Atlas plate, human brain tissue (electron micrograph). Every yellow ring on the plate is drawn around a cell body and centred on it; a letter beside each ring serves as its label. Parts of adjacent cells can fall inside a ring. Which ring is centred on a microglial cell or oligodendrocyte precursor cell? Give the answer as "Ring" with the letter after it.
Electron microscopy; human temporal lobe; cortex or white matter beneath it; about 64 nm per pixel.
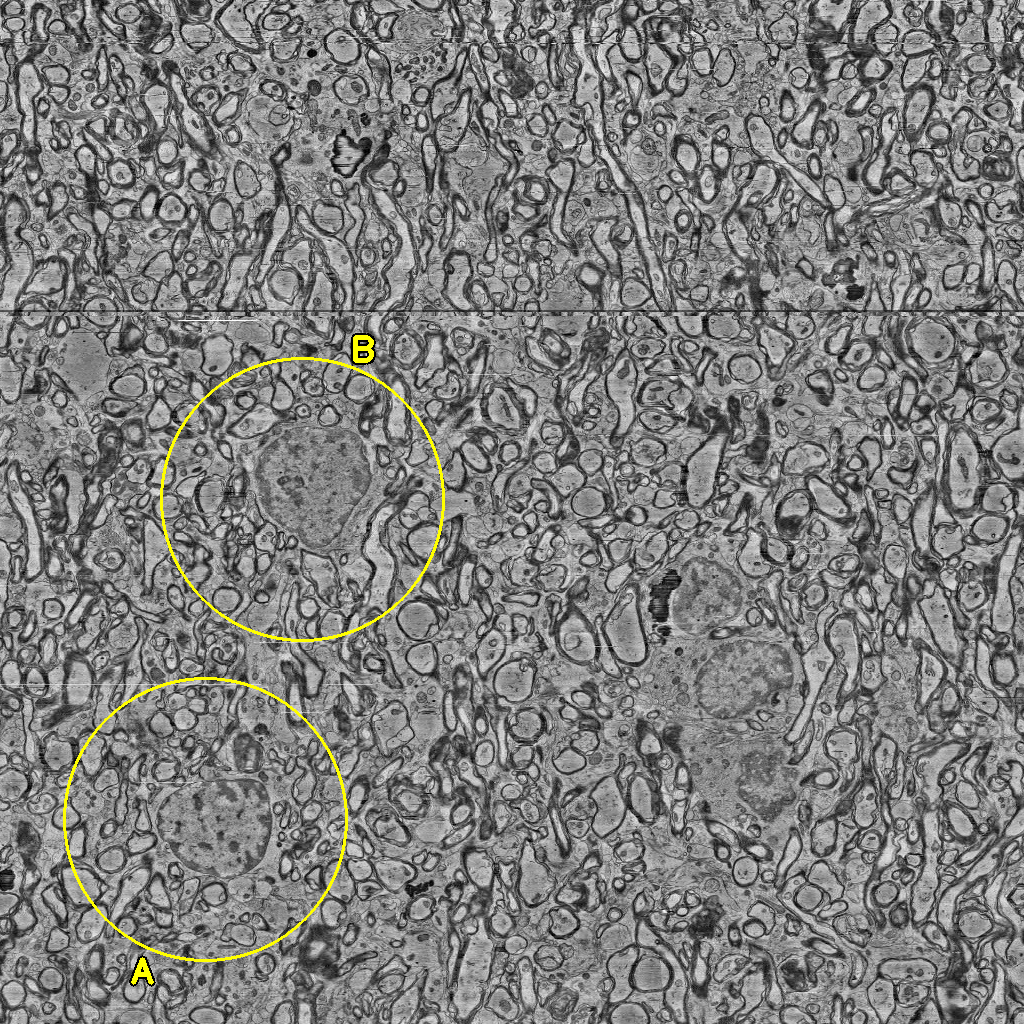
Ring A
